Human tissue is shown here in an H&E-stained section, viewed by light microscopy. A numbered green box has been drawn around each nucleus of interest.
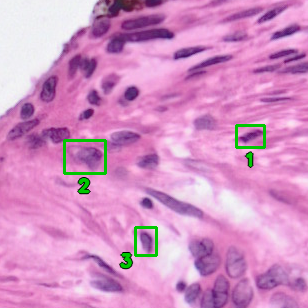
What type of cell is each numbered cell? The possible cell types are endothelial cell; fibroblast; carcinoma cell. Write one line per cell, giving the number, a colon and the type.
1: fibroblast
2: endothelial cell
3: fibroblast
